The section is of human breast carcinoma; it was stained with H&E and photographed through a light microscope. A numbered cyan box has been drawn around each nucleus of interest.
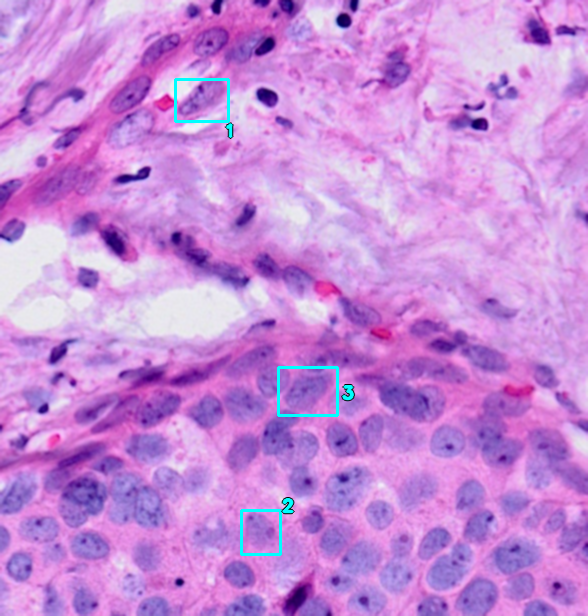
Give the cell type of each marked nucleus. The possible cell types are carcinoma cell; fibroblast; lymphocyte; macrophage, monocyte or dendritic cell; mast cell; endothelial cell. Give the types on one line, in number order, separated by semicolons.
endothelial cell; carcinoma cell; carcinoma cell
